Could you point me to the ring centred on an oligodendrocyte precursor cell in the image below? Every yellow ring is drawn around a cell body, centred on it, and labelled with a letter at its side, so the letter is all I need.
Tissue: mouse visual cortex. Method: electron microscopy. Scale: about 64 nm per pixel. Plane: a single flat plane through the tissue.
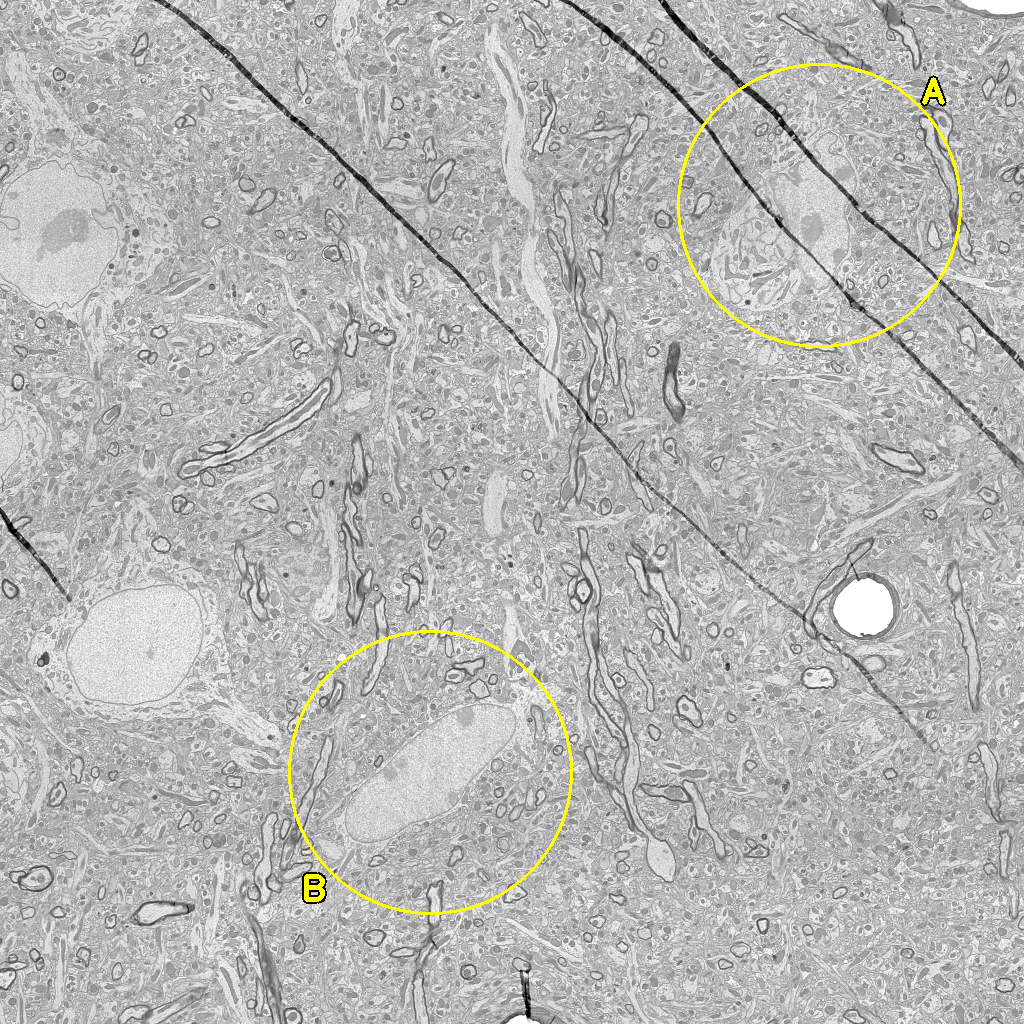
A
